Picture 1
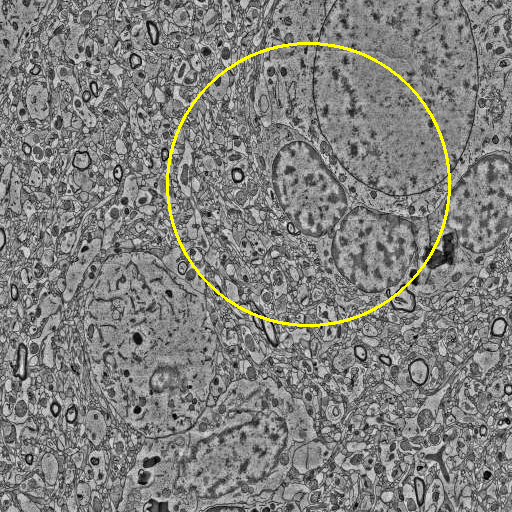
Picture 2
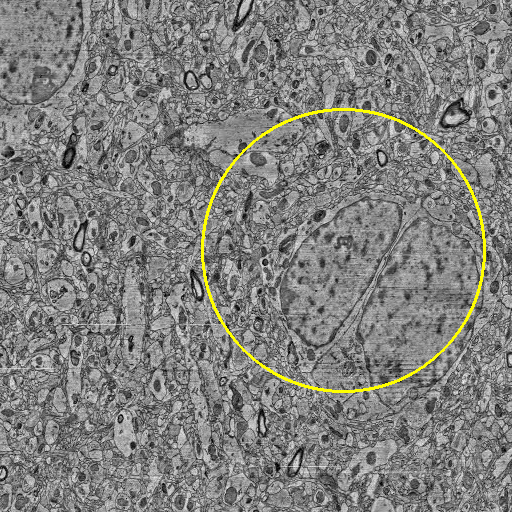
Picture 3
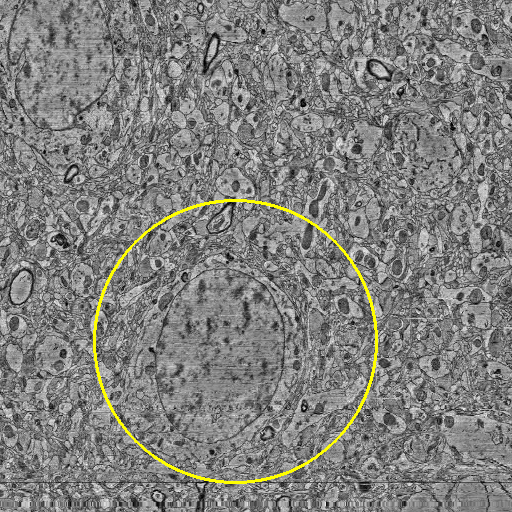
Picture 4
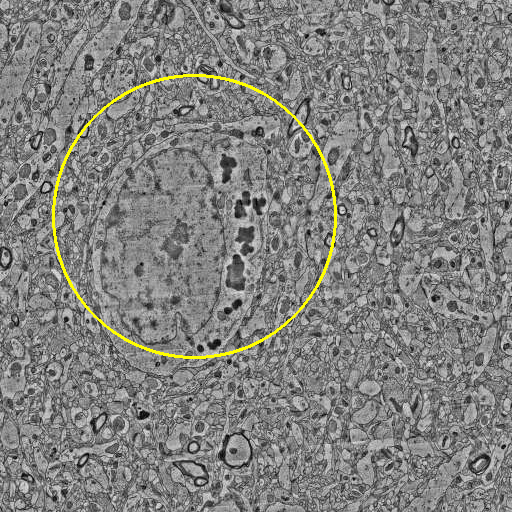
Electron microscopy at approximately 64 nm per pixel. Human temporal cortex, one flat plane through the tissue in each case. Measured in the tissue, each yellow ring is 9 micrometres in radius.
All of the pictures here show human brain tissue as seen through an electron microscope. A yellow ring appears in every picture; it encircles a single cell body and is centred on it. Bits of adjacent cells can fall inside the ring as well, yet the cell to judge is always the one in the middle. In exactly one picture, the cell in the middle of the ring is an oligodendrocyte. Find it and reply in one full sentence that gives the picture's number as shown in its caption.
Of all the pictures, picture 1 has the right cell at the centre of its ring.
